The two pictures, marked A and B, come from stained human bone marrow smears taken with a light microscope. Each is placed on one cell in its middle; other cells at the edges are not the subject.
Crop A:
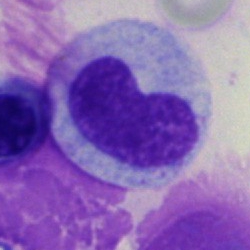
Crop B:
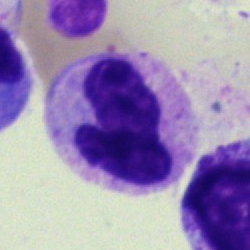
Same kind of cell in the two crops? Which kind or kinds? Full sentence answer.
No, record crop A as a monocyte and crop B as a band neutrophil.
